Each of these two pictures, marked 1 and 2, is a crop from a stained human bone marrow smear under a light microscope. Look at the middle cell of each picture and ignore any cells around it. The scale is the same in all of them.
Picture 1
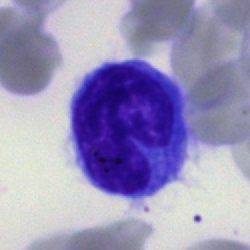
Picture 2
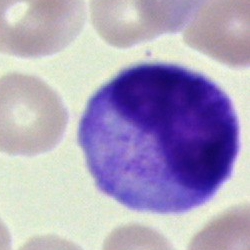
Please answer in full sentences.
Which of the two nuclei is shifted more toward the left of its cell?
The nucleus in picture 1 lies further toward the left of its cell.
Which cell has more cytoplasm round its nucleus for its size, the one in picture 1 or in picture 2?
It is the cell in picture 2 that is filled less by its nucleus.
